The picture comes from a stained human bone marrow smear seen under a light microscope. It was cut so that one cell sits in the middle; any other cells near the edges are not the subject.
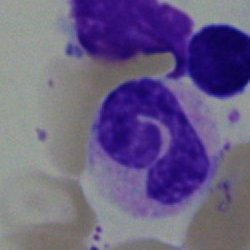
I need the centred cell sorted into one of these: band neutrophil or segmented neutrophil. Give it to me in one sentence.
Seen at the centre of the crop is a band neutrophil.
